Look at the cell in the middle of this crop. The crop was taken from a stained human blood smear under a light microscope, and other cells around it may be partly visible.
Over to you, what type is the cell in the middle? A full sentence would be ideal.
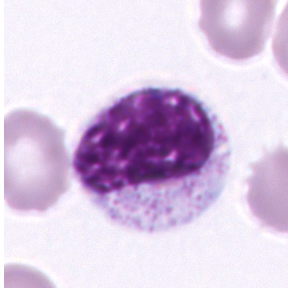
The cell that lies at the centre of the crop is a metamyelocyte.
